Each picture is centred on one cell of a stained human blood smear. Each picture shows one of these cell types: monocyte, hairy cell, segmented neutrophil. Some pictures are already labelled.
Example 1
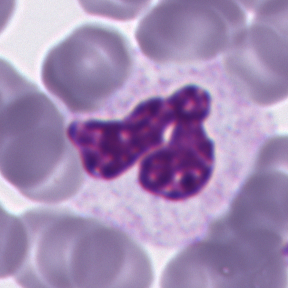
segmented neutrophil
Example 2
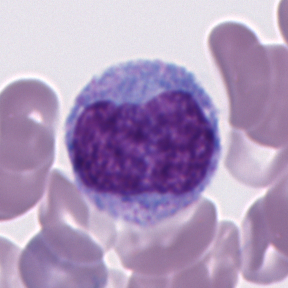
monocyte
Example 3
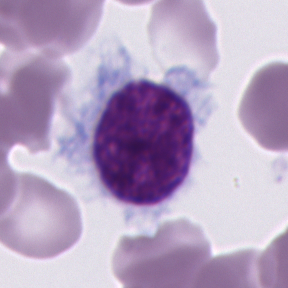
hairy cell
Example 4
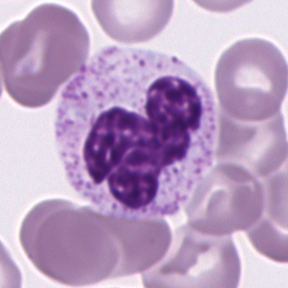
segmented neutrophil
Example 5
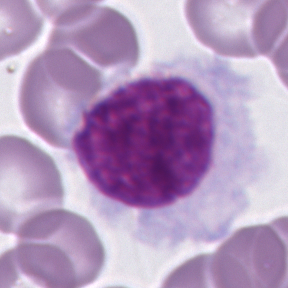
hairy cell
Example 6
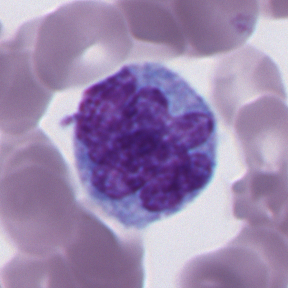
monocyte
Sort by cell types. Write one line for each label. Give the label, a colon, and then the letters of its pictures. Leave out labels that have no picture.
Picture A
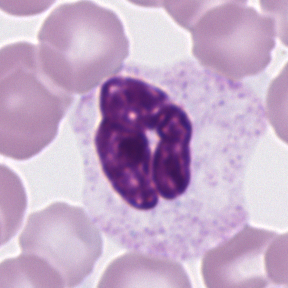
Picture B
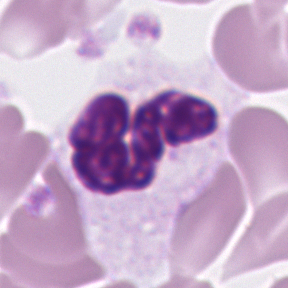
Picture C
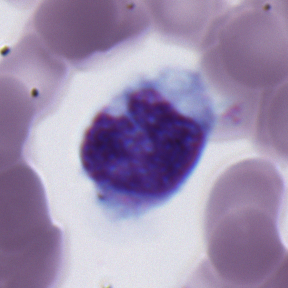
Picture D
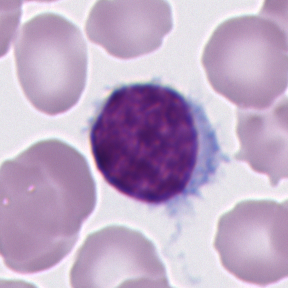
monocyte: C
hairy cell: D
segmented neutrophil: A, B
